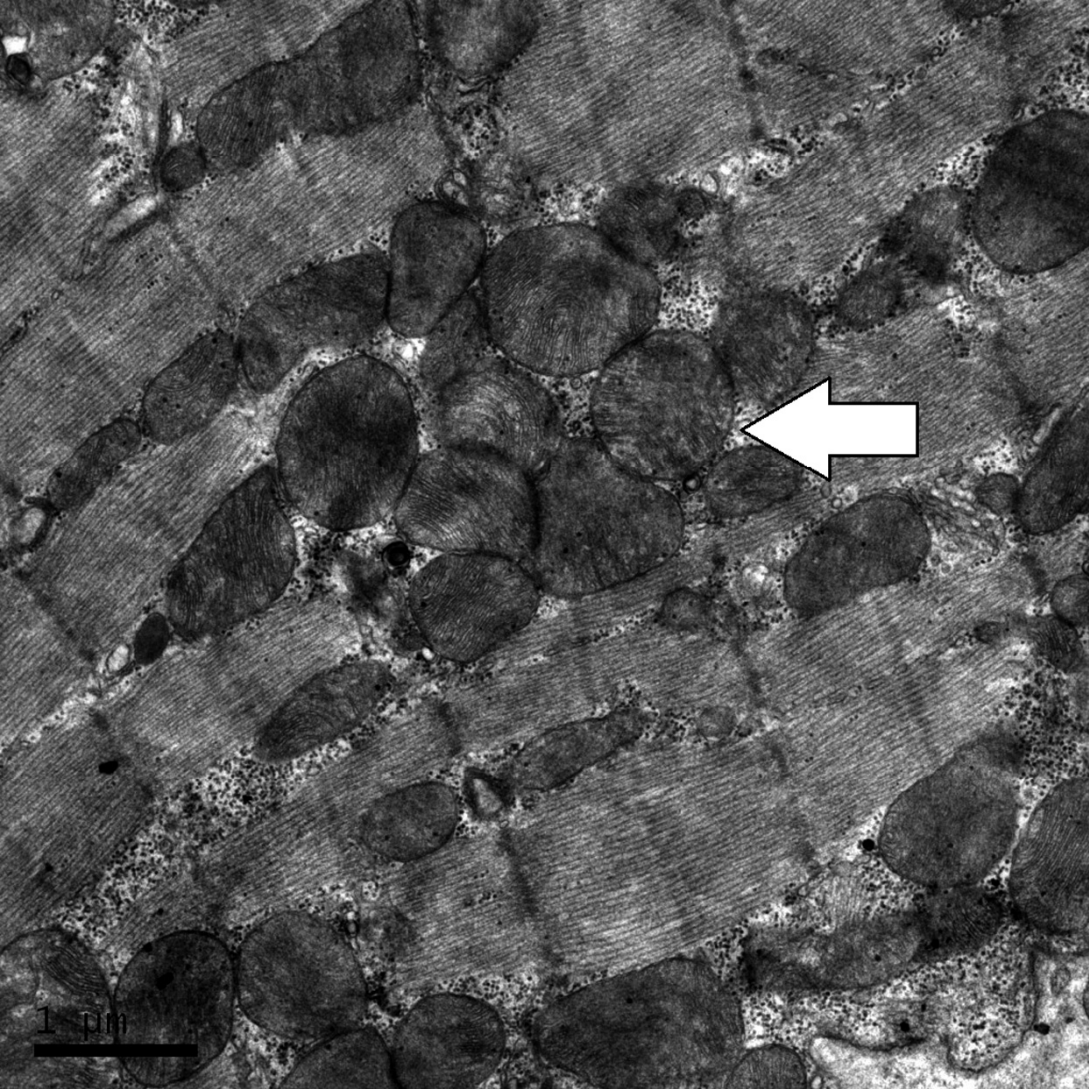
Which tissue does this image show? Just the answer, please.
Myocardium.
